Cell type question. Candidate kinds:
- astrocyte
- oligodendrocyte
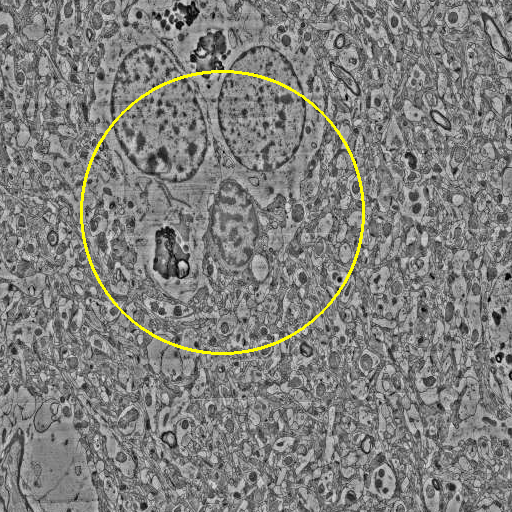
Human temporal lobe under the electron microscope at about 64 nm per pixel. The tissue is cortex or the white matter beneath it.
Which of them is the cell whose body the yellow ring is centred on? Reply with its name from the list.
oligodendrocyte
